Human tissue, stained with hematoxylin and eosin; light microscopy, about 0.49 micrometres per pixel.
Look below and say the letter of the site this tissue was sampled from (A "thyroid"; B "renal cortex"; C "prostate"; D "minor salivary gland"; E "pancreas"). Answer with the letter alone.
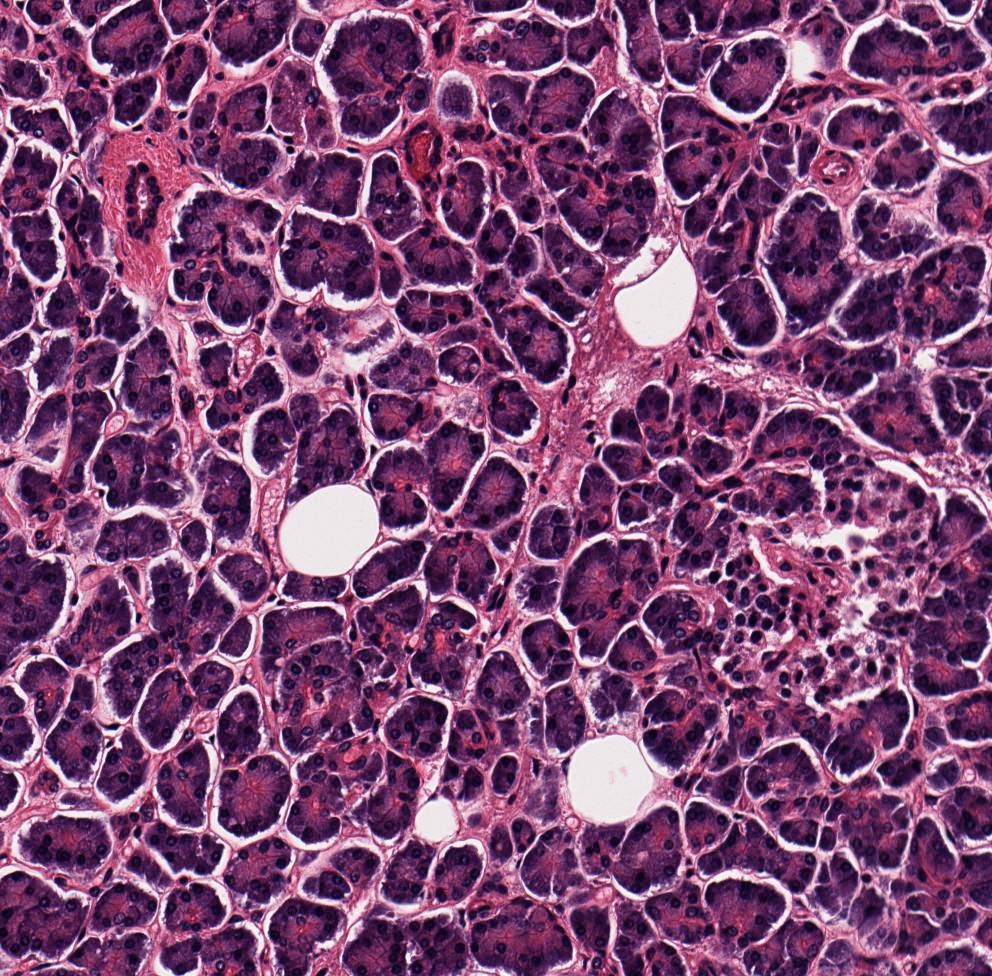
E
